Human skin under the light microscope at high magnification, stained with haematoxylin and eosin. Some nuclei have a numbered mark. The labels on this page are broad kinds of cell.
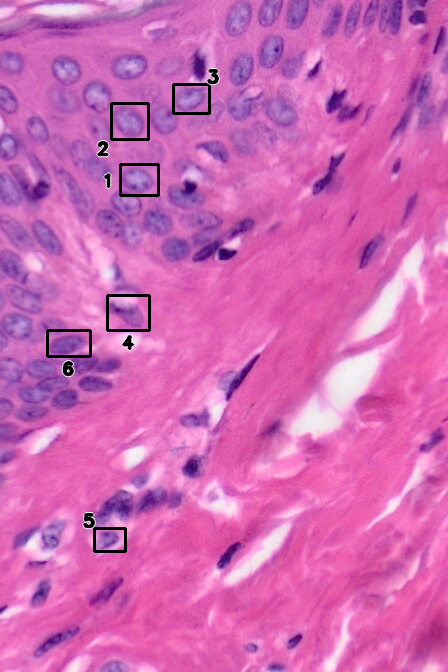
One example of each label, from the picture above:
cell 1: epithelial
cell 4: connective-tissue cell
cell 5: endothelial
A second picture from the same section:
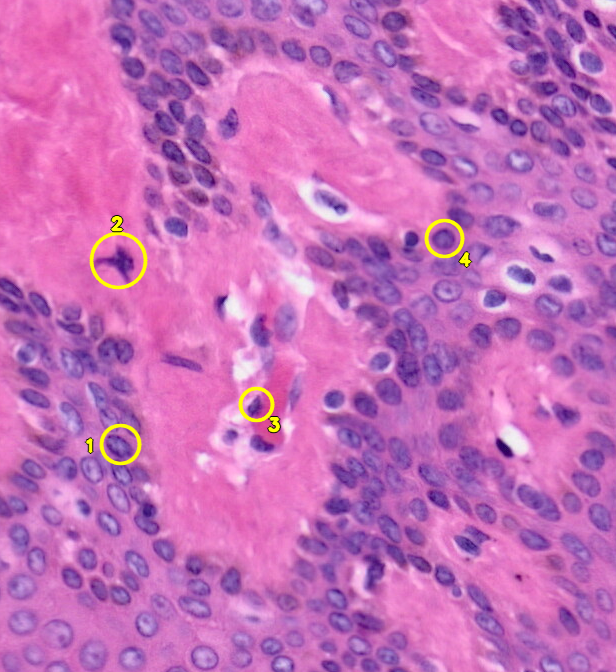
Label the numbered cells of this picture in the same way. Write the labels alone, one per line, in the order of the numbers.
epithelial
connective-tissue cell
endothelial
epithelial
